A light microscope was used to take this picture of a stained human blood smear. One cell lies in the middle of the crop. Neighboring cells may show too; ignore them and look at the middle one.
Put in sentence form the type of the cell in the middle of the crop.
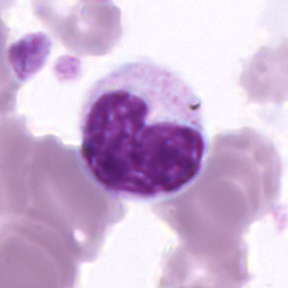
What the crop centres on is a metamyelocyte.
